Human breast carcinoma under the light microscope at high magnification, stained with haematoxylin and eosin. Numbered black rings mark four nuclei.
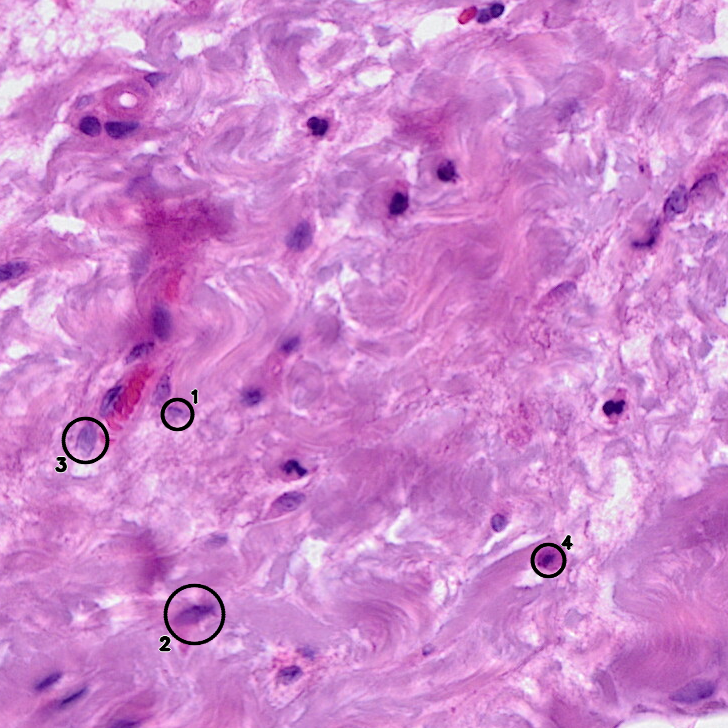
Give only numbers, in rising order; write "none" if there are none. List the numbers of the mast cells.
4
